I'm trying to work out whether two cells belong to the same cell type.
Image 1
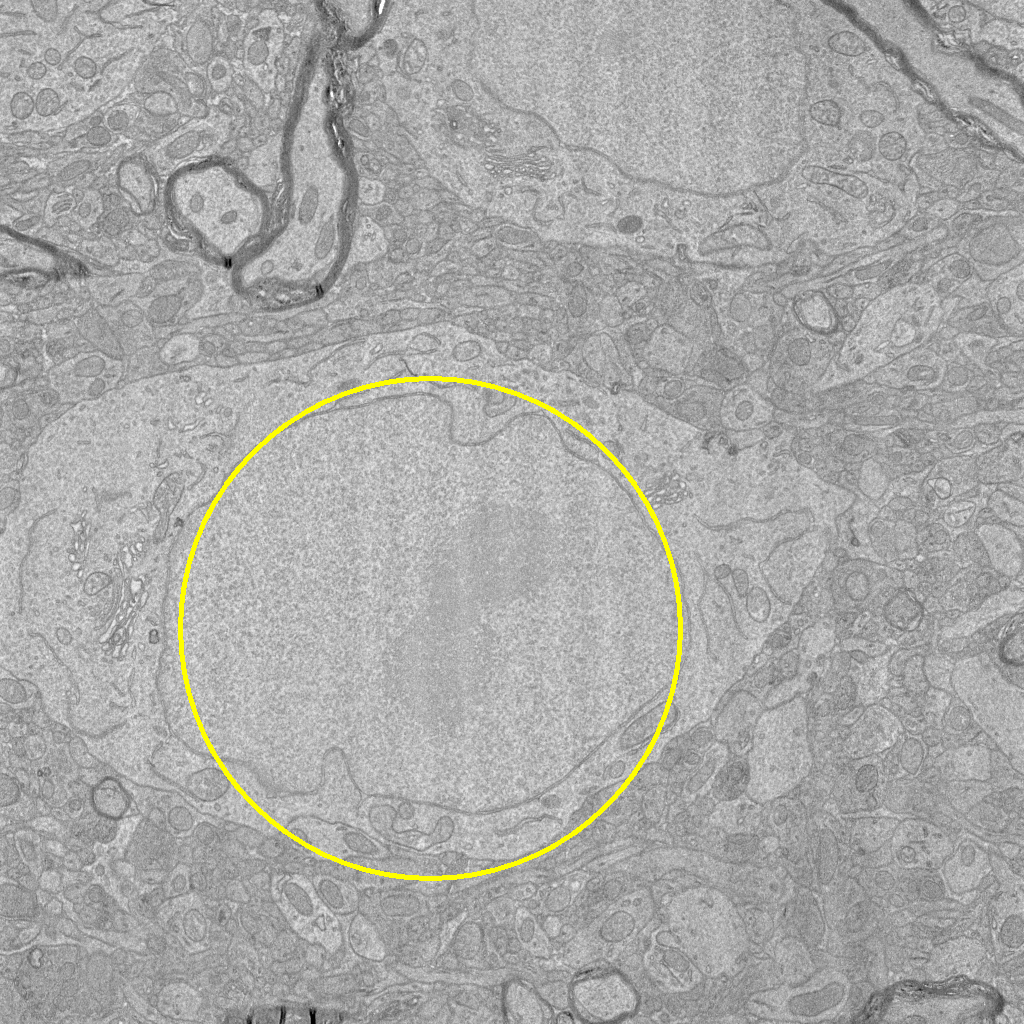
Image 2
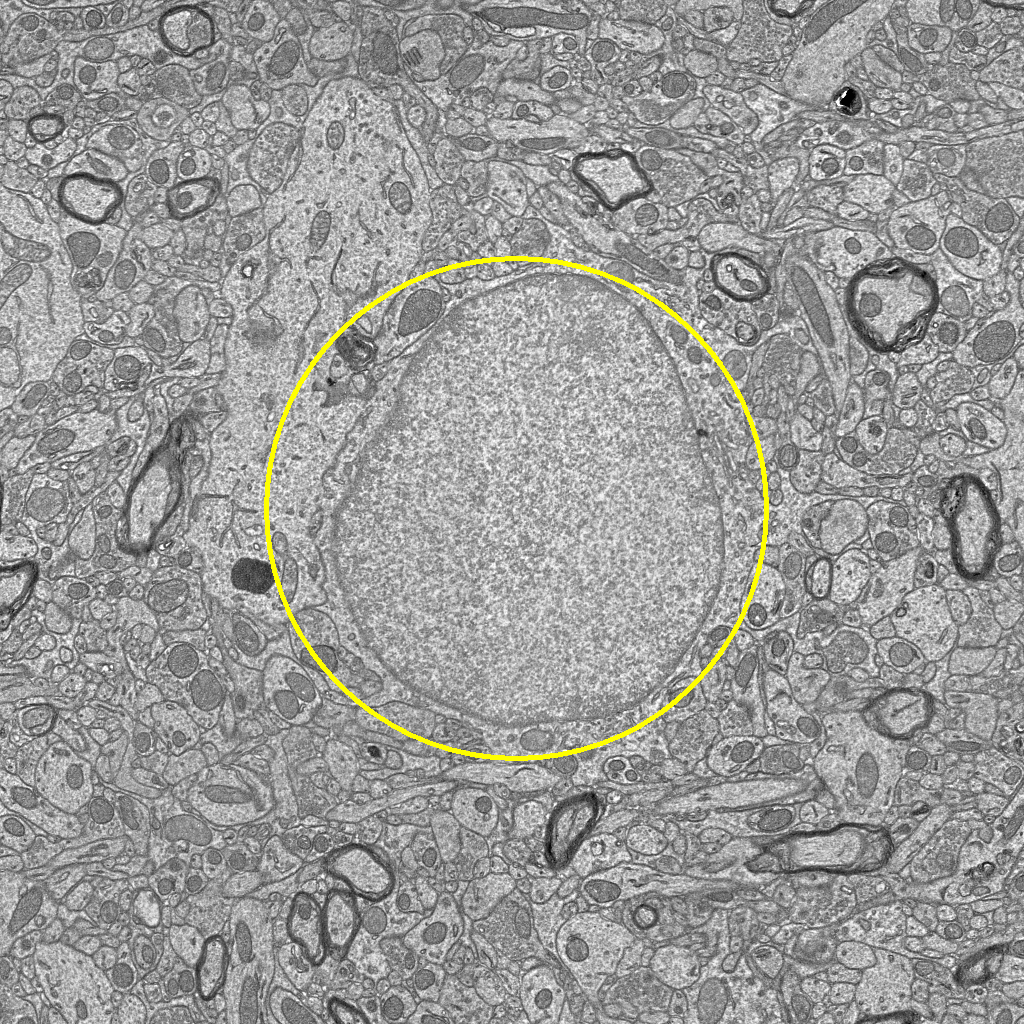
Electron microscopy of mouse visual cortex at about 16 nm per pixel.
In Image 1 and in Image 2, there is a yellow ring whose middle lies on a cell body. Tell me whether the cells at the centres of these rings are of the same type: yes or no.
no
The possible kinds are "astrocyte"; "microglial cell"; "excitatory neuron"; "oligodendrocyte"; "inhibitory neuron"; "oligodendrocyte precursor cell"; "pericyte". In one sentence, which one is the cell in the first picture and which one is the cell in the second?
So the first is an excitatory neuron, the second an astrocyte.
